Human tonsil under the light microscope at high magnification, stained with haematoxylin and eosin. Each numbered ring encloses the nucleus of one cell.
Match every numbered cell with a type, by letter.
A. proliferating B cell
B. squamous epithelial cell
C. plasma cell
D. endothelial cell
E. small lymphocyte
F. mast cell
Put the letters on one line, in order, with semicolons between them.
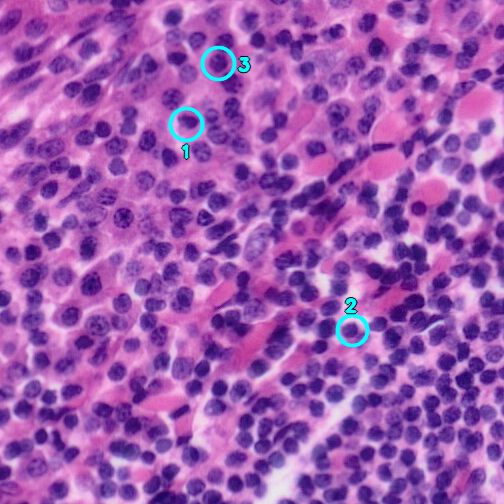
C; E; C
